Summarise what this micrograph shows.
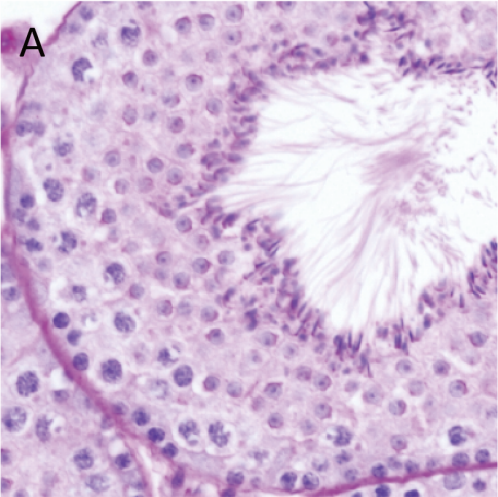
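A seminiferous tubule of the testis is seen in section, bounded by a thin magenta basement membrane with flattened cells along it. Its wall is made of several layers of germ cells: round cells with dark, coarsely granular nuclei lie toward the base, and rows of smaller round cells with paler cytoplasm lie further in. Toward the lumen, clusters of elongated, darkly stained sperm heads line the inner edge of the epithelium. The central lumen is filled with a pale, streaming mass of sperm tails.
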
